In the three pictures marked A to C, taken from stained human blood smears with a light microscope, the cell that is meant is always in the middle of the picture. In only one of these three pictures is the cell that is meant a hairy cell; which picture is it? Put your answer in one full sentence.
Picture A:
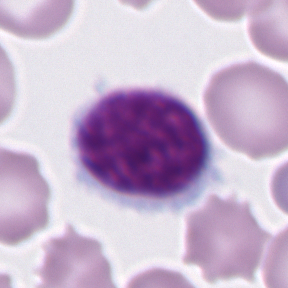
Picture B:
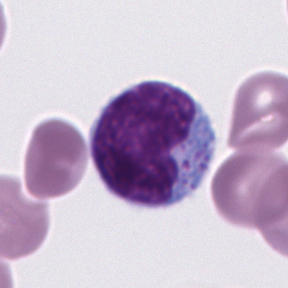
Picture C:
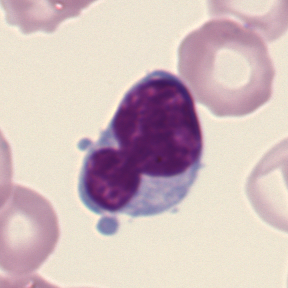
The picture with the hairy cell is A.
